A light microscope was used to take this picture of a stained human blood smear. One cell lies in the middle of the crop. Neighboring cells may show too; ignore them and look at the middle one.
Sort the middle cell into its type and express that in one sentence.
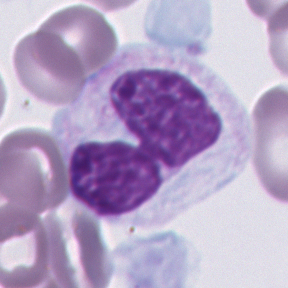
For this crop, the central cell is a band neutrophil.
